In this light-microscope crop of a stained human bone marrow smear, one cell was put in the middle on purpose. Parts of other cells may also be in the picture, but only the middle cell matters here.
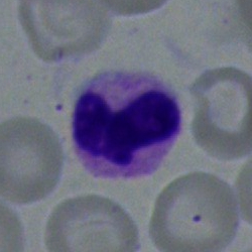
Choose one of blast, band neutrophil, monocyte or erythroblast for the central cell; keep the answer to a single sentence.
The crop's centre is taken up by a band neutrophil.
